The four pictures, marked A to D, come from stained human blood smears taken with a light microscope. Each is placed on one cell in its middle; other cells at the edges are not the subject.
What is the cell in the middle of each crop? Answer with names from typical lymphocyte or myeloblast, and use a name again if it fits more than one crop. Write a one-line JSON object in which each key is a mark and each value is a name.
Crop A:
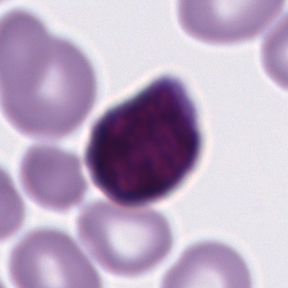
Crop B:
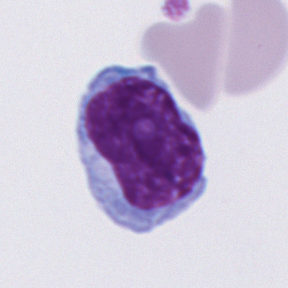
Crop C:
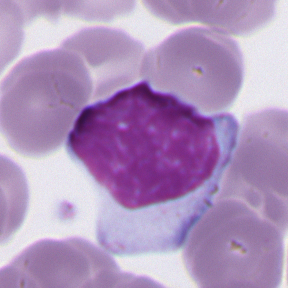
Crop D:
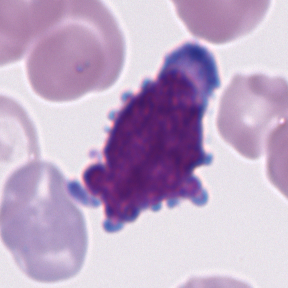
{"A": "myeloblast", "B": "typical lymphocyte", "C": "typical lymphocyte", "D": "myeloblast"}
